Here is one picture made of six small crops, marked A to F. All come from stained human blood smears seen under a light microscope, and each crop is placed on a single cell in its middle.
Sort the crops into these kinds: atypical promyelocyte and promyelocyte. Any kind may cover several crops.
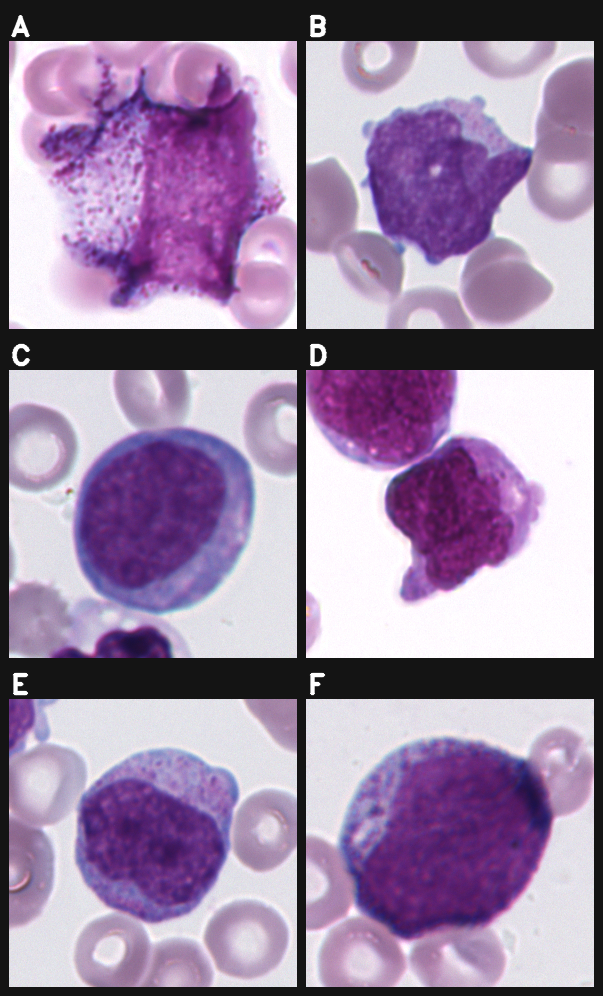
A: promyelocyte
B: atypical promyelocyte
C: promyelocyte
D: atypical promyelocyte
E: atypical promyelocyte
F: promyelocyte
